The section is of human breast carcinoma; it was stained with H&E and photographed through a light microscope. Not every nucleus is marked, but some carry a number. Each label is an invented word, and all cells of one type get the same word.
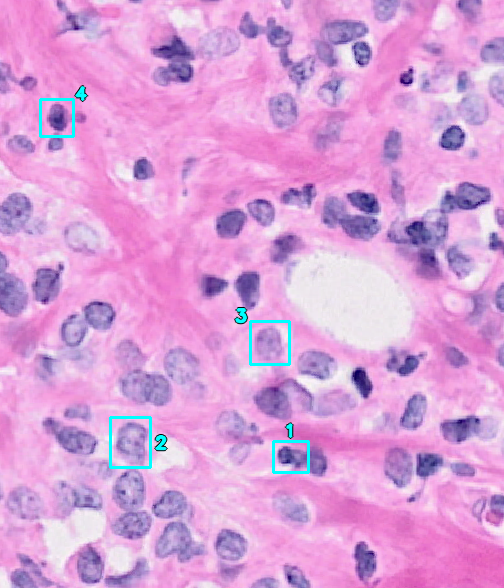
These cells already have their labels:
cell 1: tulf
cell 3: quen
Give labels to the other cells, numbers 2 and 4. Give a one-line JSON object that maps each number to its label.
{"2": "quen", "4": "tulf"}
